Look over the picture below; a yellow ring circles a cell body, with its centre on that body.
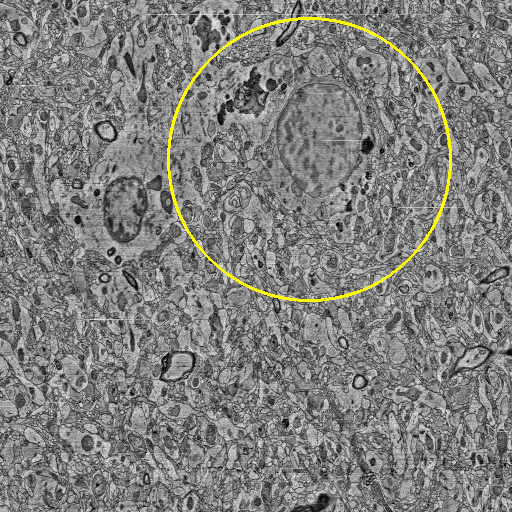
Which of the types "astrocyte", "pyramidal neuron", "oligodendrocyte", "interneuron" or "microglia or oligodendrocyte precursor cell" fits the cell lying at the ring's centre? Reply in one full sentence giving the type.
The picture shows an oligodendrocyte at the centre of the yellow ring.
